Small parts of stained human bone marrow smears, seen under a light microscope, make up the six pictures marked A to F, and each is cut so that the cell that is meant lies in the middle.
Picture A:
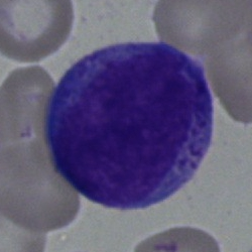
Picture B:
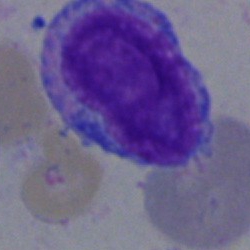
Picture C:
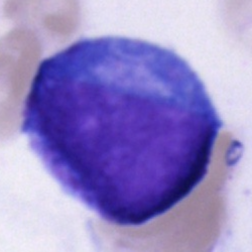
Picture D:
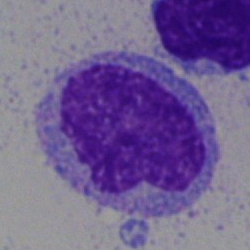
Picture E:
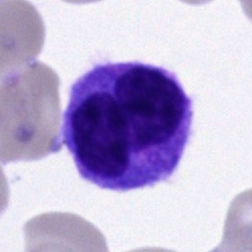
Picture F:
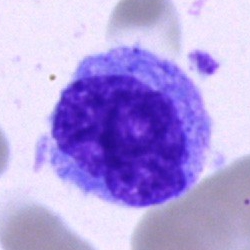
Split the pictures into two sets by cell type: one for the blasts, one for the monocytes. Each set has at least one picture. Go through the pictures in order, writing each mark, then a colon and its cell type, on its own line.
A: blast
B: blast
C: blast
D: monocyte
E: monocyte
F: monocyte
